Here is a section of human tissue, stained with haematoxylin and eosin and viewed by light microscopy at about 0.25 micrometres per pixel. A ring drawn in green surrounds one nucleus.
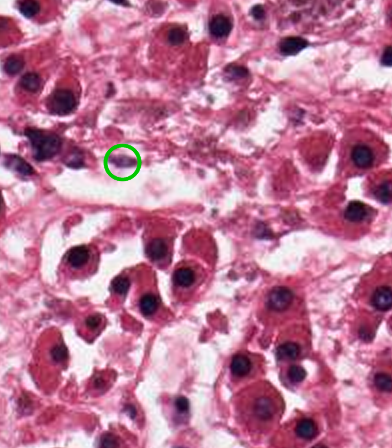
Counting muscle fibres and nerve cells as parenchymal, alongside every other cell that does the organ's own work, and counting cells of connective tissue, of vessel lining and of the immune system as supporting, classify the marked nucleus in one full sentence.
That the marked nucleus belongs to a supporting cell is what the section shows.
